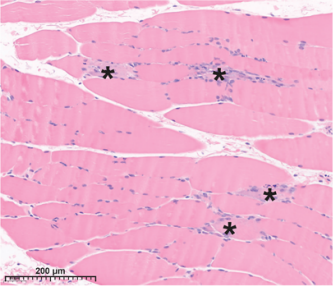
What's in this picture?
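Skeletal muscle with long pink fibers of somewhat varying width, separated in places by pale gaps. Scattered small foci of crowded blue nuclei lie among and within the fibers, where the pink fiber substance is interrupted, marking damaged fibers.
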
